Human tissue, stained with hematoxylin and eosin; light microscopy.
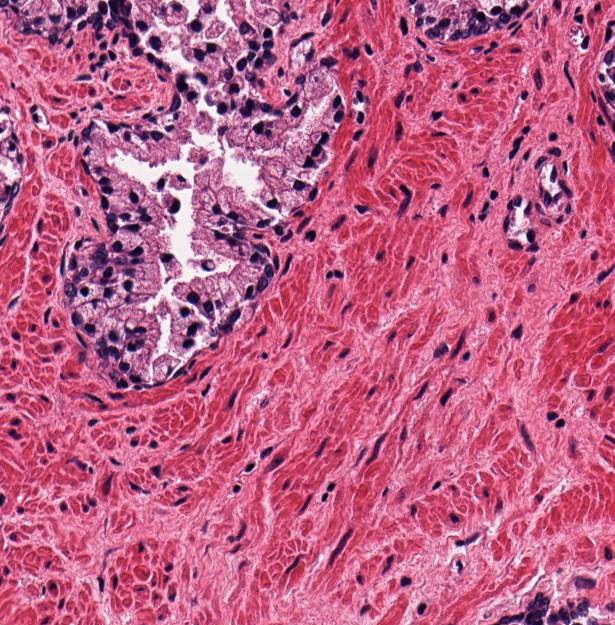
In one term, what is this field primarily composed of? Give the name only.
fibromuscular stroma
